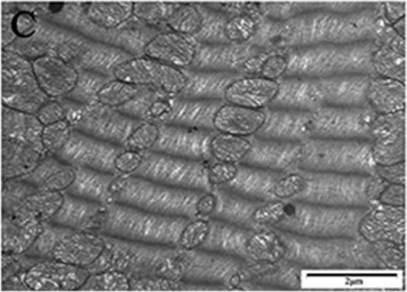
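Electron micrograph of myocardium showing the ultrastructure of a cardiomyocyte. Striated myofibrils run across the field with regularly repeating sarcomeres bounded by dark transverse lines. Between the myofibrils lie rows of oval mitochondria with tightly packed cristae, closely aligned along the myofibrils.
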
